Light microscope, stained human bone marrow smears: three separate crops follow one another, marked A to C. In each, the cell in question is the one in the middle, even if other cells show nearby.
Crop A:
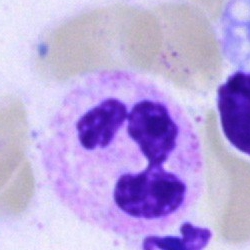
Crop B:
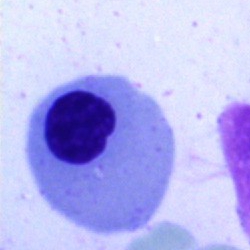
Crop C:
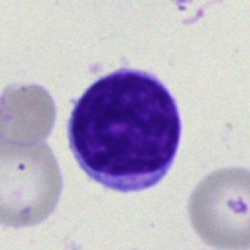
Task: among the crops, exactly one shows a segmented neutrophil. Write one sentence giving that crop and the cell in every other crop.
It is crop A that shows a segmented neutrophil, while crop B is an erythroblast and crop C is a lymphocyte.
